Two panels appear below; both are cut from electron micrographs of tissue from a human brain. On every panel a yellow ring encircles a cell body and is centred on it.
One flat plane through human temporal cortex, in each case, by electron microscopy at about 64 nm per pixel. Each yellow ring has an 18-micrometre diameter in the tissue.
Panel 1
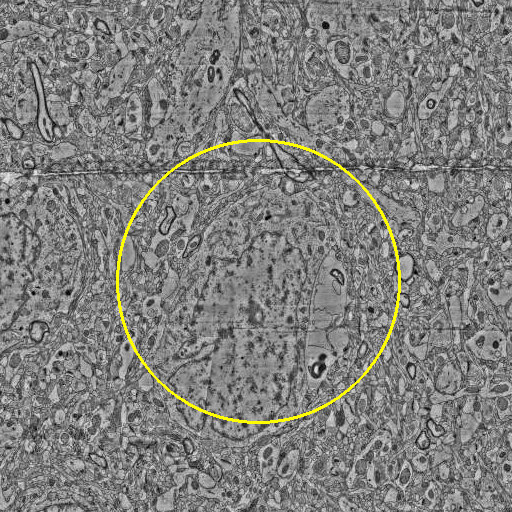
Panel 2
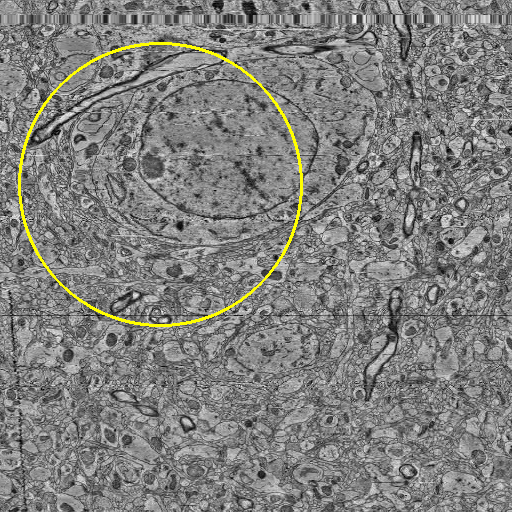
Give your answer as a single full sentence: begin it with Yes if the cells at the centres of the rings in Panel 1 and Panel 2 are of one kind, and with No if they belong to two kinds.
No, the cells in the middle of the rings in Panels 1 and 2 are of two kinds.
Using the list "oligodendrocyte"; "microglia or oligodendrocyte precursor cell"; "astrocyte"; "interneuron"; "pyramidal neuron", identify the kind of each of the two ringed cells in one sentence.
The first is an interneuron and the second is a pyramidal neuron.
